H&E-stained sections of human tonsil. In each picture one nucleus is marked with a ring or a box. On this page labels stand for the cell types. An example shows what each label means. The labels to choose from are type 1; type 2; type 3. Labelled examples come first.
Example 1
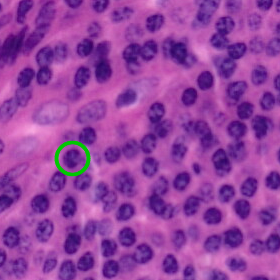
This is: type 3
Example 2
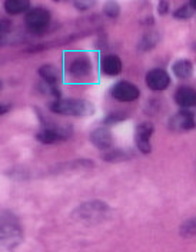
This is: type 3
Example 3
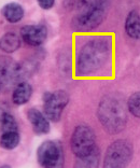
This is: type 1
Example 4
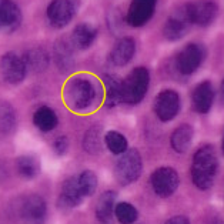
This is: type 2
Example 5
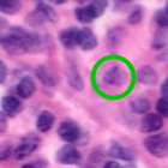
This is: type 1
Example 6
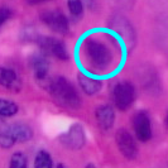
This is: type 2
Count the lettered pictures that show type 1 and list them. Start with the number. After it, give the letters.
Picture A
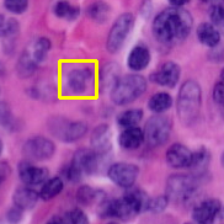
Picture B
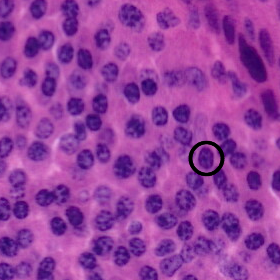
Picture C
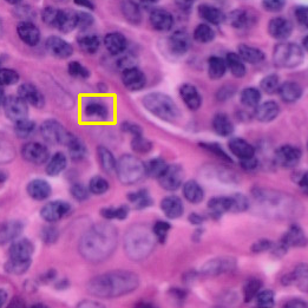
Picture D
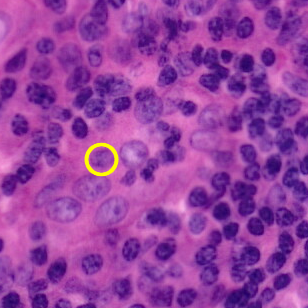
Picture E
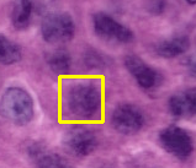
3: A, C, D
